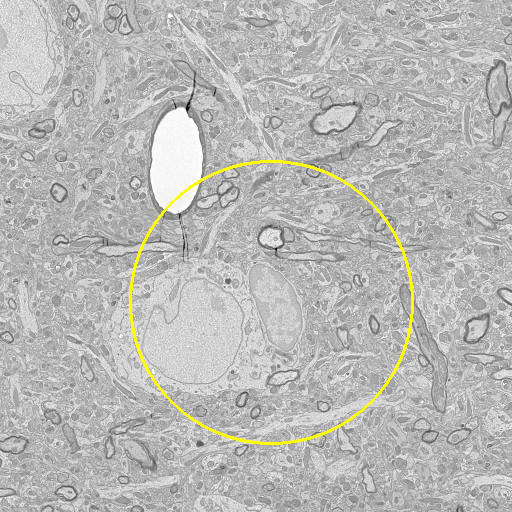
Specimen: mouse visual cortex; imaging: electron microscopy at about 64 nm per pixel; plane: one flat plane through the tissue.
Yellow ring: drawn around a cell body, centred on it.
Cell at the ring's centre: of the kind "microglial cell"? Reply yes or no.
yes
